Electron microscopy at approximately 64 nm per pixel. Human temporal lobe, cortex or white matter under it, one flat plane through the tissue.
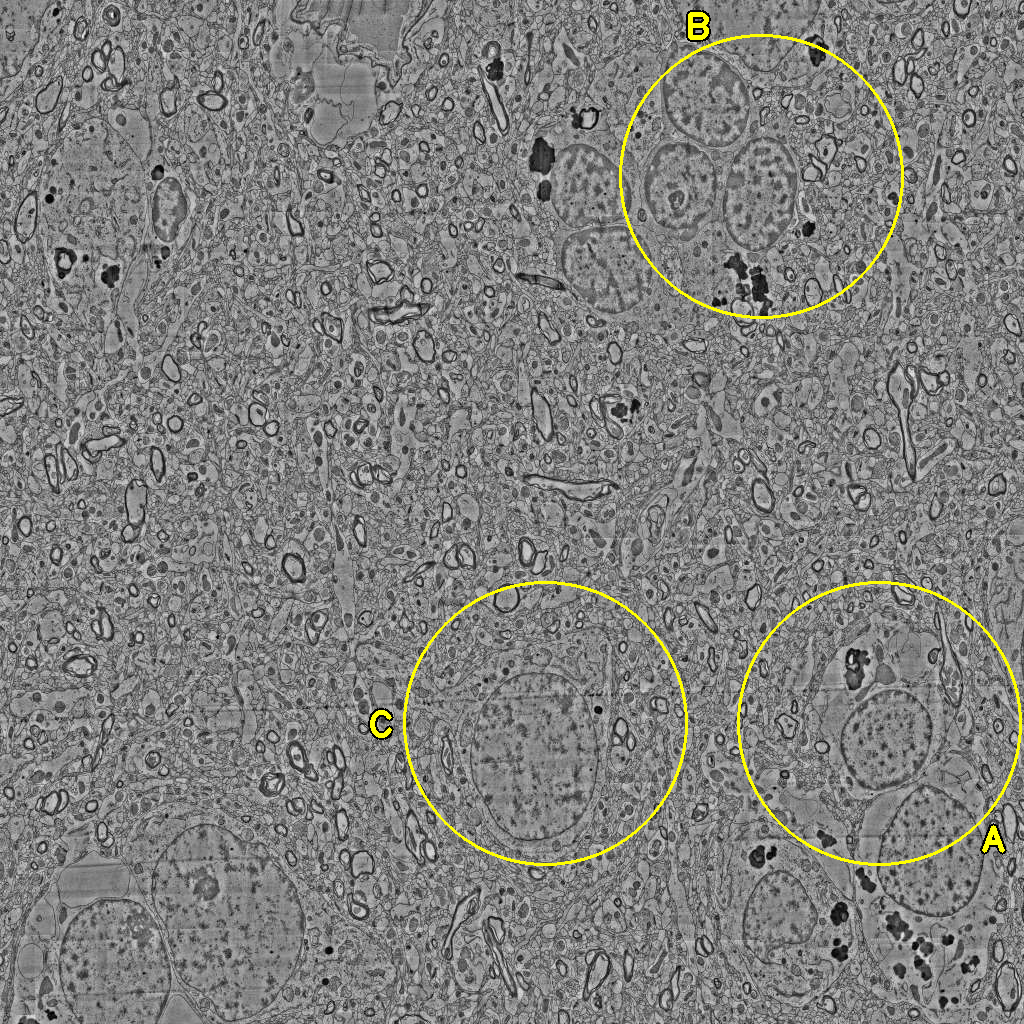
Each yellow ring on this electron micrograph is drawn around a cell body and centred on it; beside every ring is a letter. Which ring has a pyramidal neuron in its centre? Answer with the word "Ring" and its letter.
Ring C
